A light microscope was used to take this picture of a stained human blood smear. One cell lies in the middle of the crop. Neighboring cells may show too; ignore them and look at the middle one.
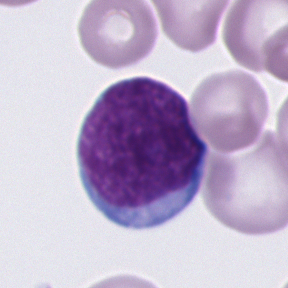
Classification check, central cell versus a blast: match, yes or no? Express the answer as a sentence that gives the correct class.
Yes, the cell that the crop is centred on is a blast.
